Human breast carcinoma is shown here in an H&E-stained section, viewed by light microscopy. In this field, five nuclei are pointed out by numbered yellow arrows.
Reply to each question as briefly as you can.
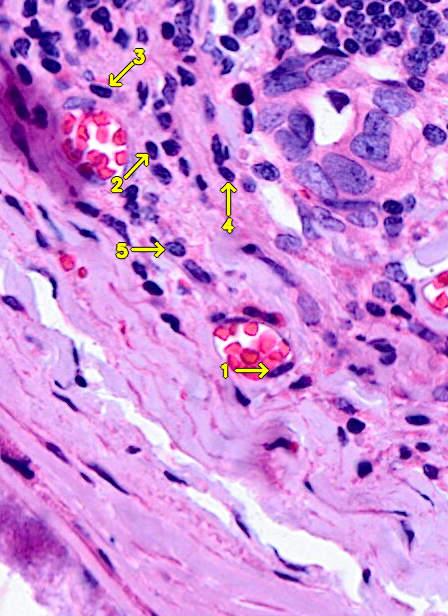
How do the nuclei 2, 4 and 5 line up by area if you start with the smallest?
2, 4, 5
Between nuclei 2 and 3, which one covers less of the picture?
2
